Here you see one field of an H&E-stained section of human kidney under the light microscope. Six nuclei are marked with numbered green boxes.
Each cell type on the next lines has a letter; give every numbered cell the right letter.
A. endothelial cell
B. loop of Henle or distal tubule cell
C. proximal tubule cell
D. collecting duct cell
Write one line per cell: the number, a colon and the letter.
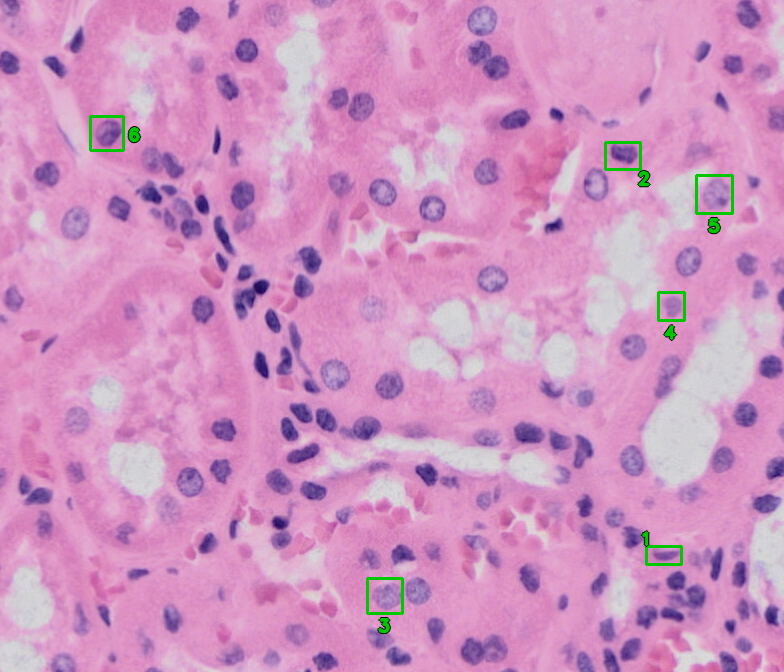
1: D
2: C
3: B
4: C
5: C
6: C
